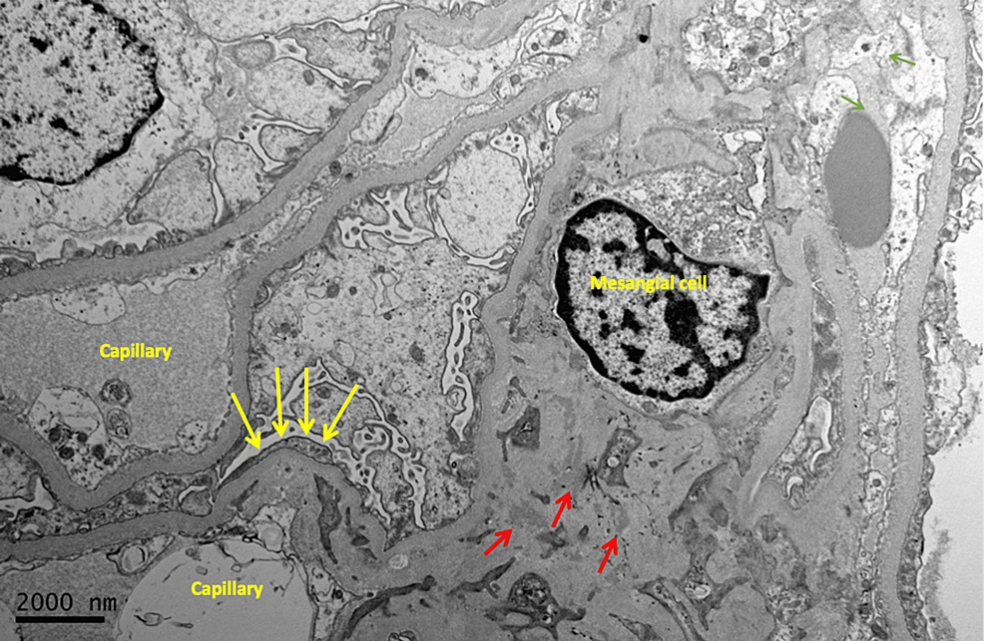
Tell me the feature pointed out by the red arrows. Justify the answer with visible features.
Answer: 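The patches lie in the matrix below the labelled mesangial cell, between capillary loops.
Electron-dense deposits.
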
